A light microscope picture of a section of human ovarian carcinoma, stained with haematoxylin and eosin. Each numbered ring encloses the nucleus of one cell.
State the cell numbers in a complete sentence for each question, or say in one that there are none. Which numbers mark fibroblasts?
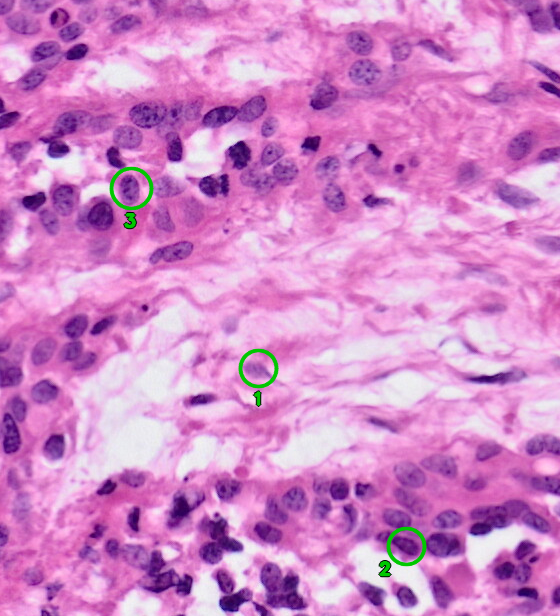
Cell 1 is a fibroblast; every other numbered cell is something else.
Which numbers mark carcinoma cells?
Cell 2 is a carcinoma cell; the remaining numbered cells are not.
